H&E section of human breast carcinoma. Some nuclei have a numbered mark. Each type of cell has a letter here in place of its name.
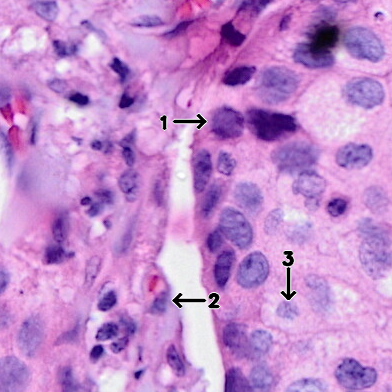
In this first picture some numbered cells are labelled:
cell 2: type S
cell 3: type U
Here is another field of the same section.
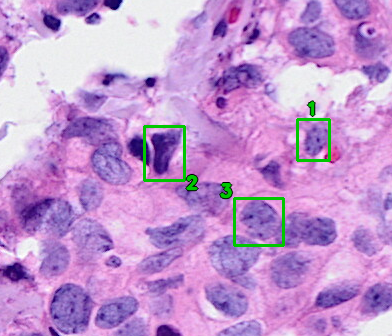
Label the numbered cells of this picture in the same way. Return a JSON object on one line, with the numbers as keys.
{"1": "type S", "2": "type U", "3": "type U"}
